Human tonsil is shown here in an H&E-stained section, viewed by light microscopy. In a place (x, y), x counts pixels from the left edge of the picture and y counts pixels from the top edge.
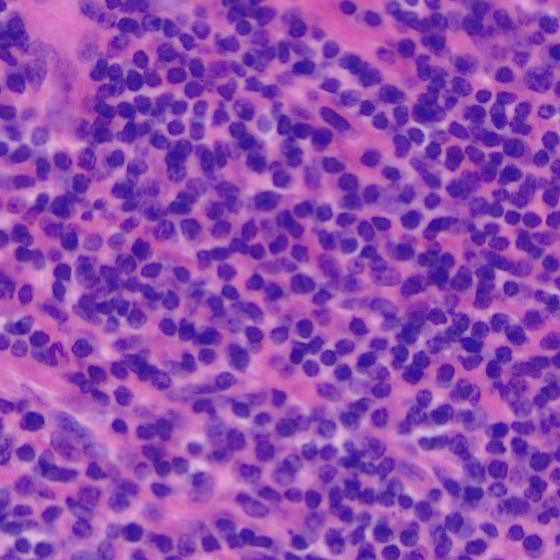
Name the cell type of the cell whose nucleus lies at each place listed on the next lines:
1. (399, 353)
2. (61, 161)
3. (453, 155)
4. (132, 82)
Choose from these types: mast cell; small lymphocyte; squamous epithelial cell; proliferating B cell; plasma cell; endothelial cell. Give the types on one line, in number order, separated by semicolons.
small lymphocyte; plasma cell; small lymphocyte; small lymphocyte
